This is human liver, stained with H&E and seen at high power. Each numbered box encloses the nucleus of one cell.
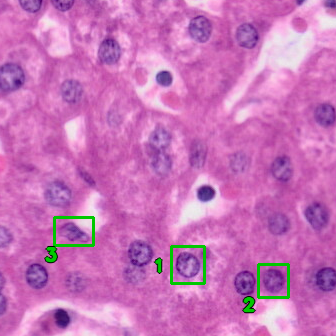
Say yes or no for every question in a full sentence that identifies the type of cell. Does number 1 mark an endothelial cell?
No, cell 1 is not an endothelial cell. It is a hepatocyte.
